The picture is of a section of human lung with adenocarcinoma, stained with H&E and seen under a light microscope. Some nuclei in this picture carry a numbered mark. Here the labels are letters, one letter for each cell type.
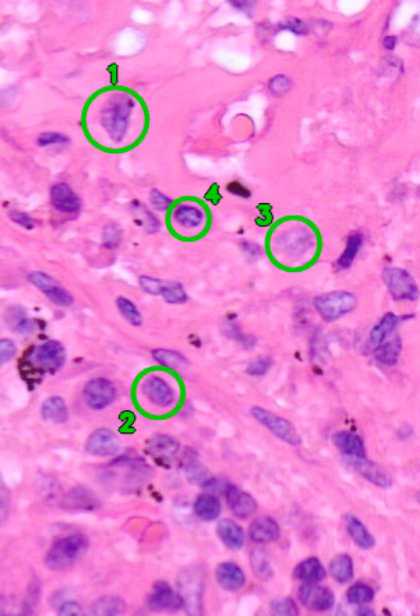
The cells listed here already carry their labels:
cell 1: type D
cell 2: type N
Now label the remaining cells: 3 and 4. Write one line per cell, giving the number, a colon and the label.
3: type D
4: type N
